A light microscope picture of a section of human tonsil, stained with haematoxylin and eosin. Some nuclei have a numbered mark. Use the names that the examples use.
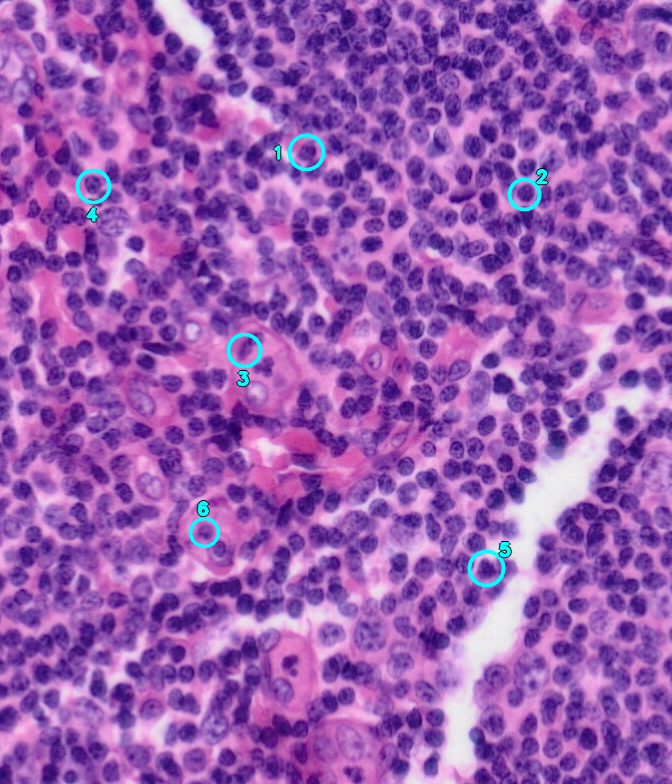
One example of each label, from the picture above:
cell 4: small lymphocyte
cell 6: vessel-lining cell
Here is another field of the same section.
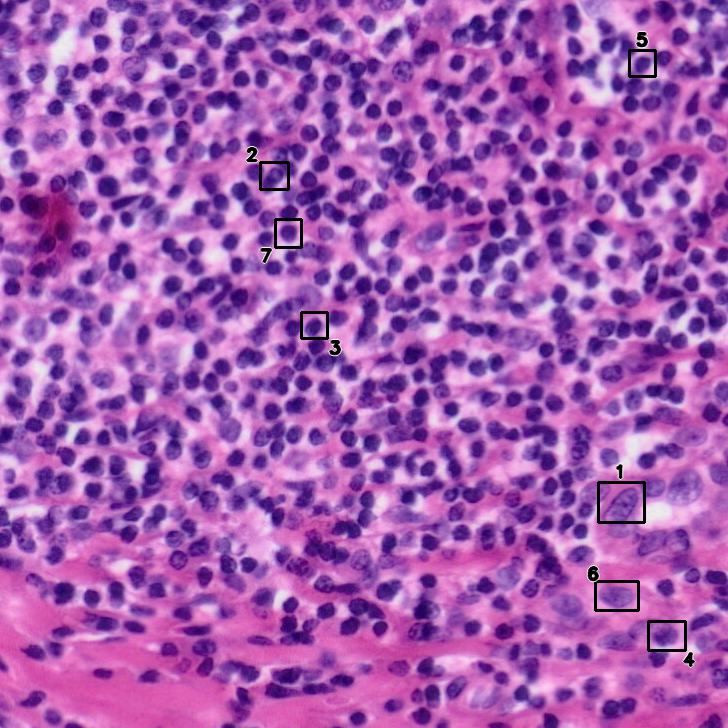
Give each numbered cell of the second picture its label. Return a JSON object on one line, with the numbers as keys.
{"1": "vessel-lining cell", "2": "small lymphocyte", "3": "small lymphocyte", "4": "vessel-lining cell", "5": "small lymphocyte", "6": "vessel-lining cell", "7": "small lymphocyte"}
